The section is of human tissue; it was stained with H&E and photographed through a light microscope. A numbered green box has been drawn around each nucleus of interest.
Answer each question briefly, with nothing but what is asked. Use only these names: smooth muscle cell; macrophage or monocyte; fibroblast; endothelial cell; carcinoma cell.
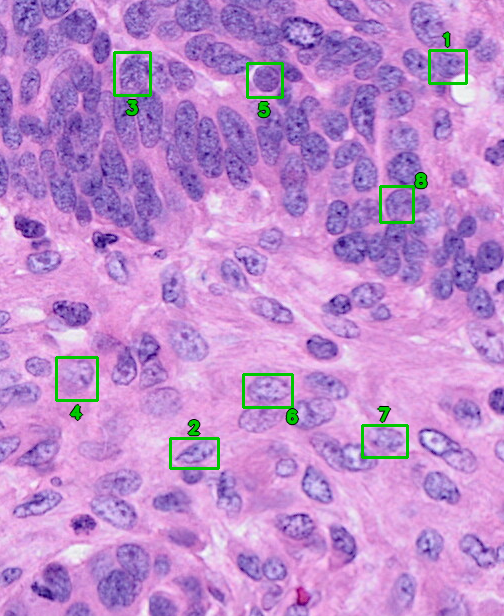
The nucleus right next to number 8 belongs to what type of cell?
carcinoma cell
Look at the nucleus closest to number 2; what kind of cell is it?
macrophage or monocyte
